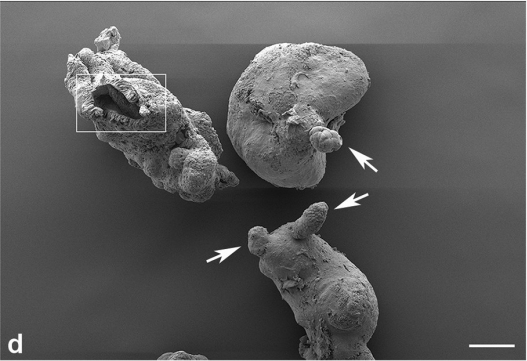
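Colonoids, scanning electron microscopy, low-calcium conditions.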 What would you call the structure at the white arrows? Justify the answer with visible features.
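The arrows point to small rounded or finger-like protrusions. The protrusions stand out from an otherwise smooth rounded surface. That points to this answer: buds.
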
